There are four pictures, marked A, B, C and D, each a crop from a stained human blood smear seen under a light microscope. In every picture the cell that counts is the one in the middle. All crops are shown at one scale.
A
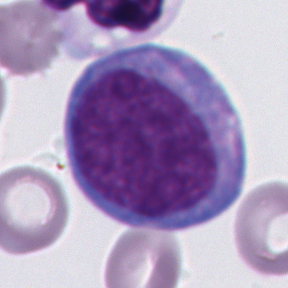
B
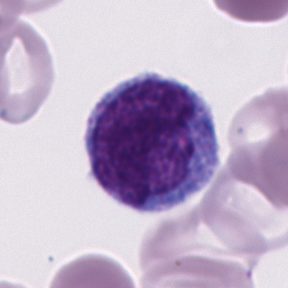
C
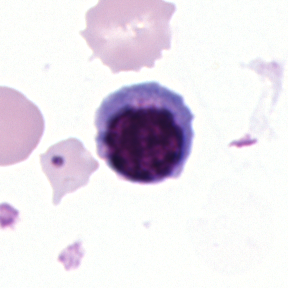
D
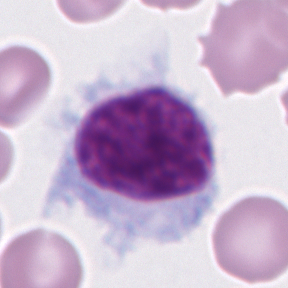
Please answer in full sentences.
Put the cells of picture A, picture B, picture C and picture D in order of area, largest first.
The order is A, D, B, C, beginning with the largest.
